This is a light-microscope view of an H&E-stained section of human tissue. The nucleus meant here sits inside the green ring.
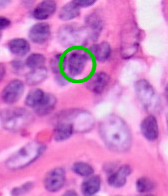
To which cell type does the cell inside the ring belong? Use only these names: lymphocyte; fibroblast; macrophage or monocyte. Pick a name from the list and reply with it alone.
lymphocyte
